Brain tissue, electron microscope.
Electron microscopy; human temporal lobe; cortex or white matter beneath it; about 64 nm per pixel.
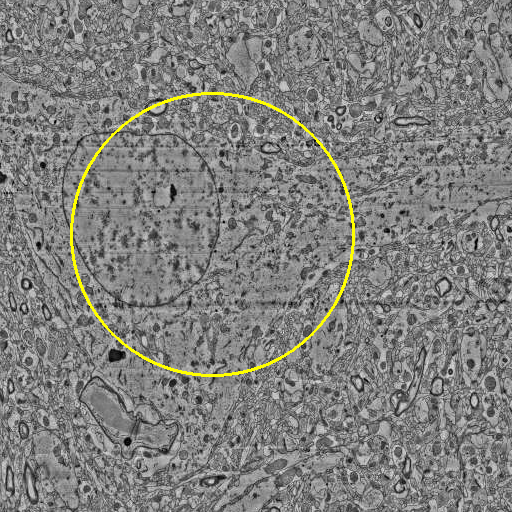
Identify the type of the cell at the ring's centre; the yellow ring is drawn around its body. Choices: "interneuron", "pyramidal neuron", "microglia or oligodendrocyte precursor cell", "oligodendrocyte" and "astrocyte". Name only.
pyramidal neuron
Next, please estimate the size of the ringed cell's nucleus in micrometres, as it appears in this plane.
About 12 micrometres by about 10 micrometres in this plane.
